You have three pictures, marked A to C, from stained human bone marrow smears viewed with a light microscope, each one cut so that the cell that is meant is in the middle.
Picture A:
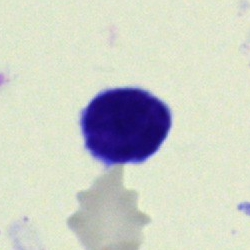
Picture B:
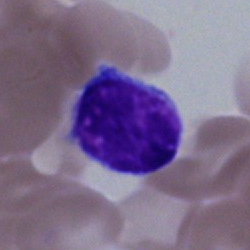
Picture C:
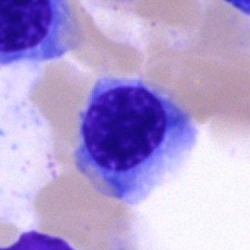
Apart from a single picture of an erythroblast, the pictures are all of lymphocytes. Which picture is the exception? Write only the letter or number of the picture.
C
